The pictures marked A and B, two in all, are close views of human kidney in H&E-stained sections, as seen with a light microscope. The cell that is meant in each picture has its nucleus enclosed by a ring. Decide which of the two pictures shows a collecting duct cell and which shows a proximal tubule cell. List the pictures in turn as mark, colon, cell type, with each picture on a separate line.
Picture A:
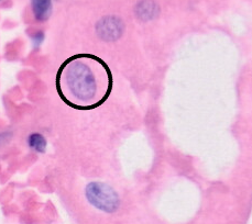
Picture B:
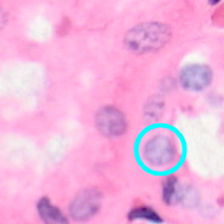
A: proximal tubule cell
B: collecting duct cell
